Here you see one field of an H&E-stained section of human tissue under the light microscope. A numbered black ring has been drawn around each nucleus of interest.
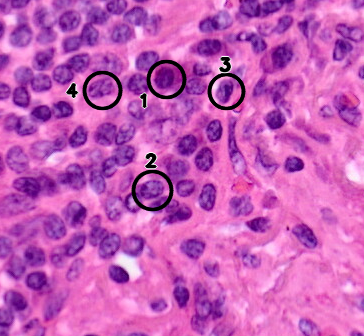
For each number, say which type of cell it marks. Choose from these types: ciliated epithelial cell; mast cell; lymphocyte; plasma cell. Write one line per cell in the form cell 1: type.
cell 1: plasma cell
cell 2: lymphocyte
cell 3: lymphocyte
cell 4: lymphocyte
